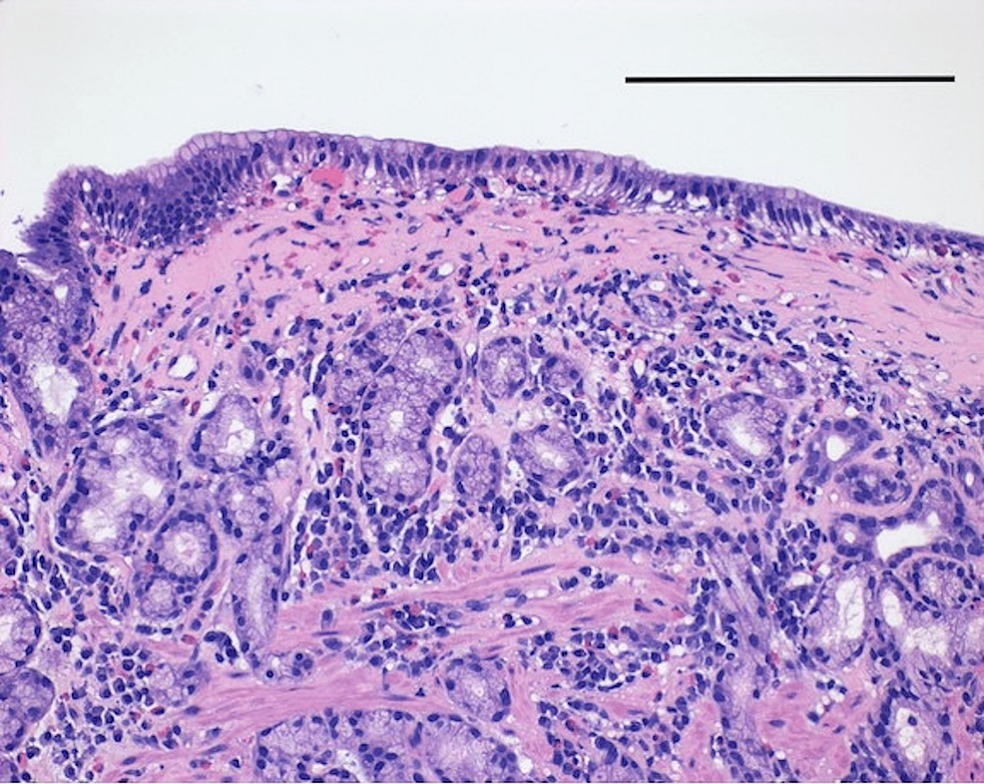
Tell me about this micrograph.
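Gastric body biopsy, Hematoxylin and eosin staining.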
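The band holds small vessels and scattered cells with bright red cytoplasm. Below it, the lamina propria is crowded with small dark round nuclei, and the glands are lined by pale foamy mucous cells; no glands of pink granular cells are seen. Pink strands of smooth muscle run between the deeper glands.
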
